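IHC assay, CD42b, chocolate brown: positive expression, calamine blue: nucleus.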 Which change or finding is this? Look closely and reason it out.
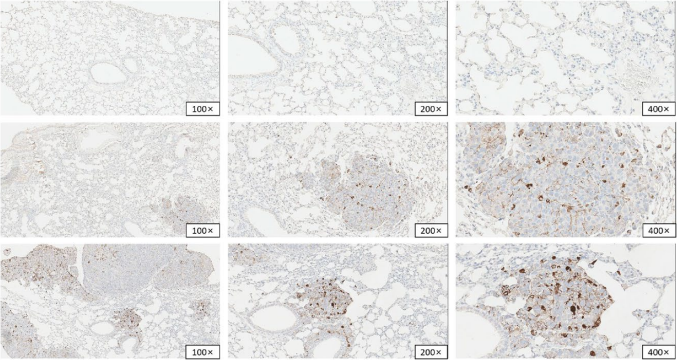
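Dense, round cellular nodules sit among thin-walled air spaces. The nodules are packed with crowded nuclei, unlike the surrounding open parenchyma. Some rows show only open alveolar tissue without nodules.
Answer: lung metastases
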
